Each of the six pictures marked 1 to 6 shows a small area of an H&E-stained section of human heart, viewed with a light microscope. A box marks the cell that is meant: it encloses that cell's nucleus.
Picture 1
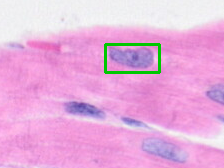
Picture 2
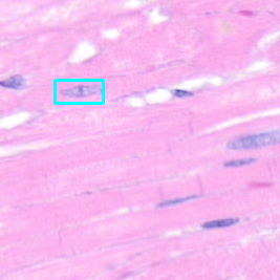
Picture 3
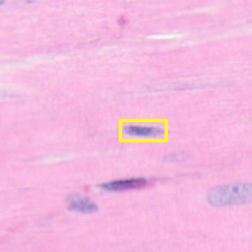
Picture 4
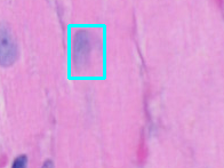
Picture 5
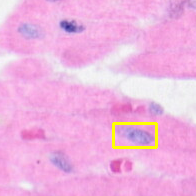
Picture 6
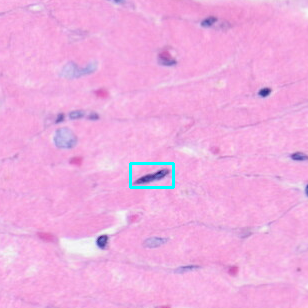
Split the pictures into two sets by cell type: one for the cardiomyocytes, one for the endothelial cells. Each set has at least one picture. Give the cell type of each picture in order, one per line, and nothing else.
cardiomyocyte
cardiomyocyte
endothelial cell
cardiomyocyte
cardiomyocyte
endothelial cell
